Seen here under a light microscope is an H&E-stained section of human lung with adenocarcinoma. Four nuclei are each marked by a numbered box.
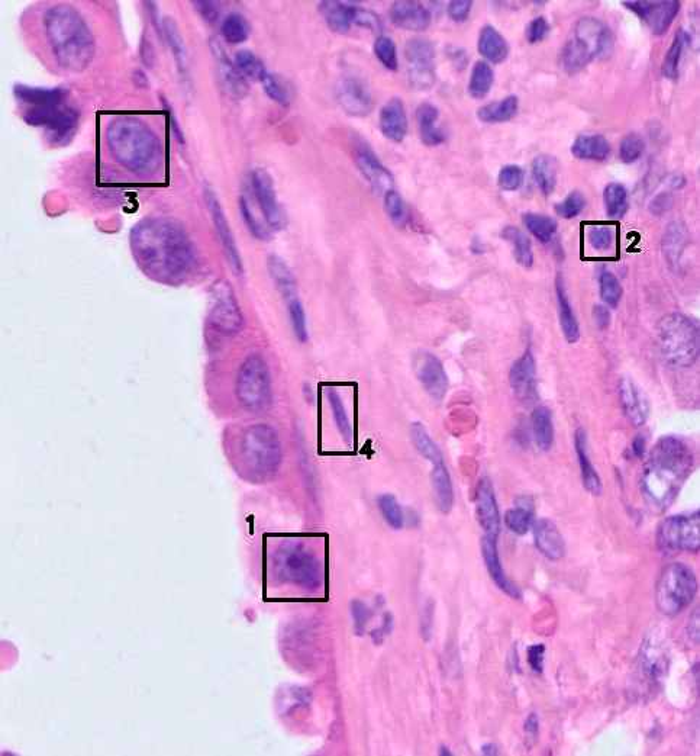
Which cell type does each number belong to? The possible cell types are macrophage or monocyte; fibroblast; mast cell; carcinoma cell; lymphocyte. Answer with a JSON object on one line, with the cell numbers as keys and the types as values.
{"1": "carcinoma cell", "2": "lymphocyte", "3": "carcinoma cell", "4": "fibroblast"}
